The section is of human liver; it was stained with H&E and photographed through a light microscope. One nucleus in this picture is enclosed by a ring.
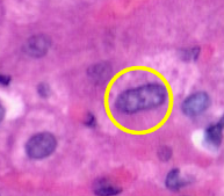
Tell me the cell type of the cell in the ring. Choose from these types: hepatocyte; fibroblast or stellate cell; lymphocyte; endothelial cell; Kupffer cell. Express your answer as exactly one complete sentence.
By its classification, the cell in the ring is a hepatocyte.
